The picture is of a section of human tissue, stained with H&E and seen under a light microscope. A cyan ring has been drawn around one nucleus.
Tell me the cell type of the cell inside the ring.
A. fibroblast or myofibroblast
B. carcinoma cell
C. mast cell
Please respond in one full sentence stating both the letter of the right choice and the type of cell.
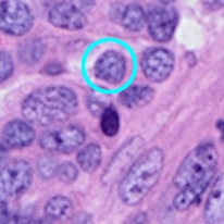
In this section the cell inside the ring is a carcinoma cell; option B is therefore correct.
